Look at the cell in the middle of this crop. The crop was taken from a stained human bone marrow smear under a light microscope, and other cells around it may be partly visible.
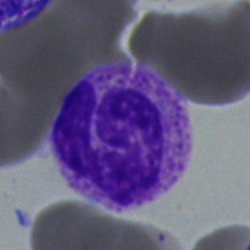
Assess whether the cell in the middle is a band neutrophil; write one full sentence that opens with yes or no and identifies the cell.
Yes, at the centre of the crop lies a band neutrophil.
